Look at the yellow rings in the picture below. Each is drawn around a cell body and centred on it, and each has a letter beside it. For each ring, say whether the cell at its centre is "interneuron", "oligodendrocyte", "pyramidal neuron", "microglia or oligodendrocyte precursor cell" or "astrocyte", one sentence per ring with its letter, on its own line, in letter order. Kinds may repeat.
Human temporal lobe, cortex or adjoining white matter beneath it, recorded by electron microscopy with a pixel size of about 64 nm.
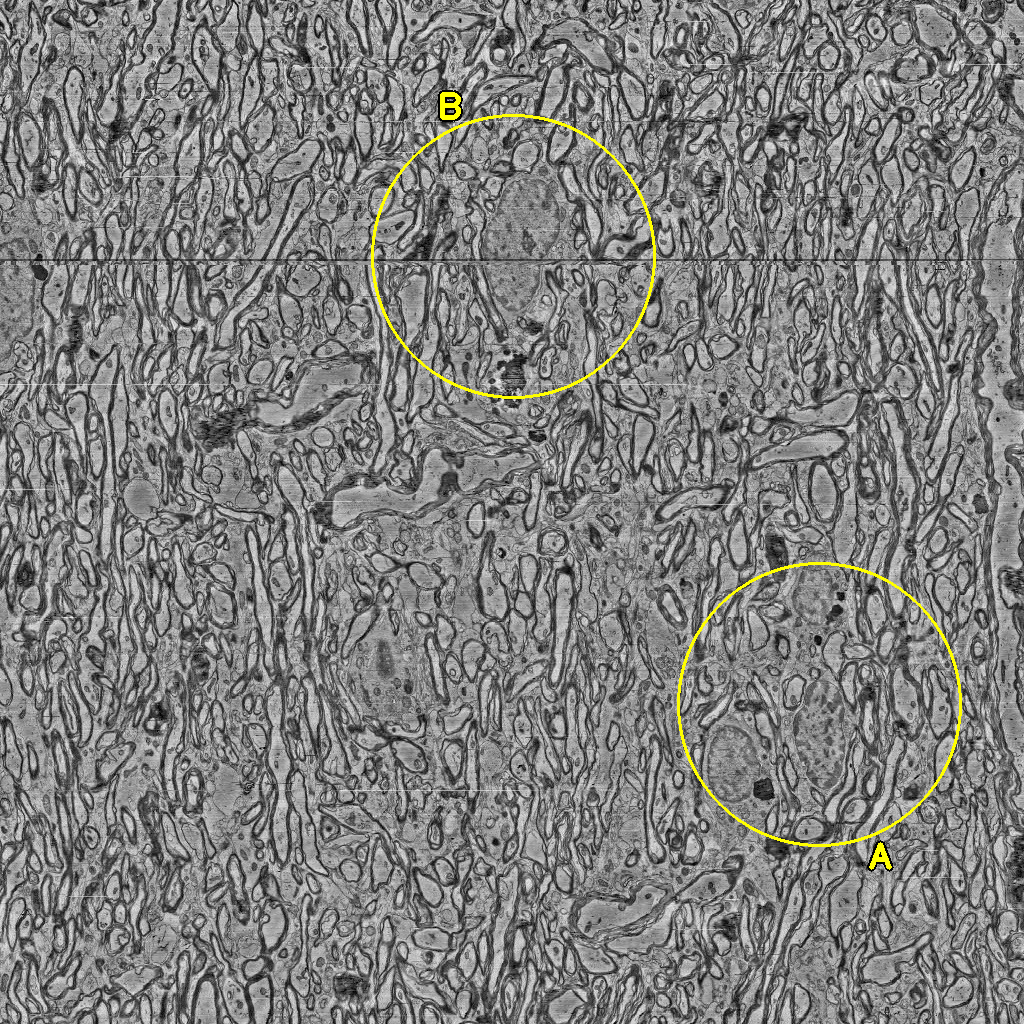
The centred cell of ring A is a microglial cell or oligodendrocyte precursor cell.
The centred cell of ring B is an oligodendrocyte.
